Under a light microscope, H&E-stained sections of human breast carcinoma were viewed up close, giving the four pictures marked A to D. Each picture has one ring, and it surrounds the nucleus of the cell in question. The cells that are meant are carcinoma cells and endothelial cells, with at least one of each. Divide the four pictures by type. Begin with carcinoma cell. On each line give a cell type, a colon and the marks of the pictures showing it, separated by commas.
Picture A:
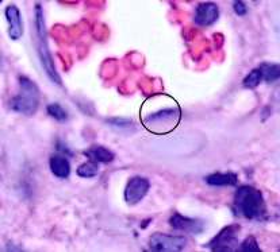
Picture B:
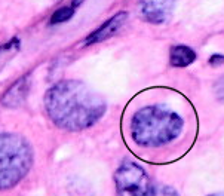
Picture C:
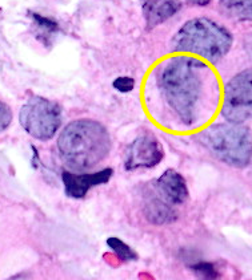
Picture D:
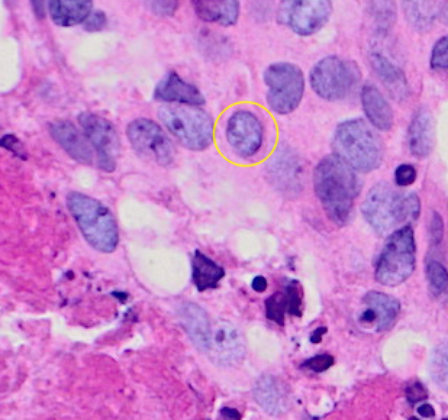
carcinoma cell: B, C, D
endothelial cell: A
